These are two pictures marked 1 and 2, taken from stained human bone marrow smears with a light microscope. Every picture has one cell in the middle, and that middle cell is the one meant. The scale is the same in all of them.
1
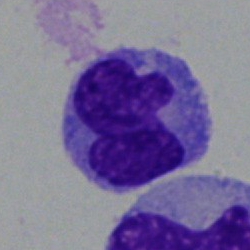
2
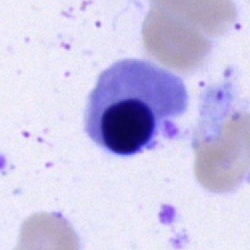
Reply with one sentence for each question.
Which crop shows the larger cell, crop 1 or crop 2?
Larger is the cell in crop 1, at roughly 2.5 times the area of the other.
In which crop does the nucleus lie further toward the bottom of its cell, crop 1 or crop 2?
In crop 2 the nucleus is shifted more toward the bottom.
